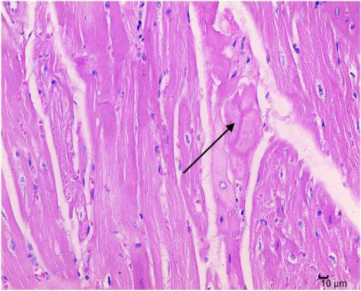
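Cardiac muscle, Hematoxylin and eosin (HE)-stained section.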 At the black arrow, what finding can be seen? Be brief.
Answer: Hyaline degeneration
